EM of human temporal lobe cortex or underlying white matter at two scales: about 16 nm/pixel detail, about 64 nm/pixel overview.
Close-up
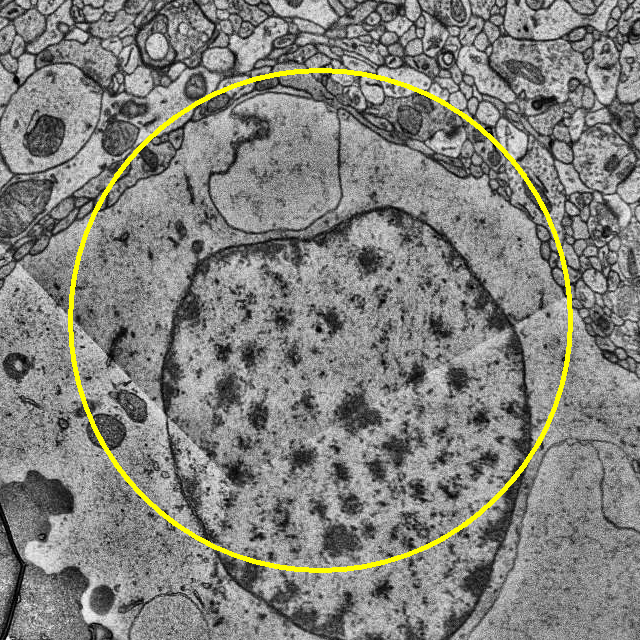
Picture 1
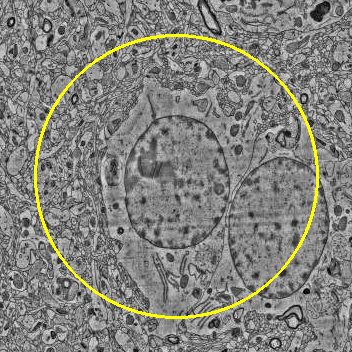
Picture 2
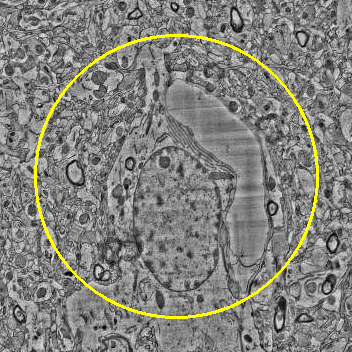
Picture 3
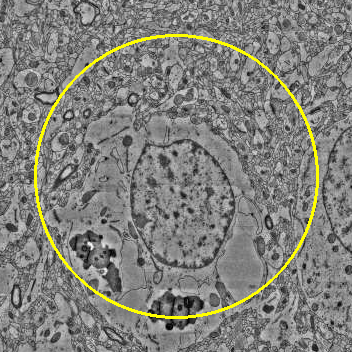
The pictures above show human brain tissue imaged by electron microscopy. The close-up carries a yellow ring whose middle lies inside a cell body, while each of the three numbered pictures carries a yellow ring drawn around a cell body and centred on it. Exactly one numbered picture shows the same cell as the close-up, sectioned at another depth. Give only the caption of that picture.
Picture 3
